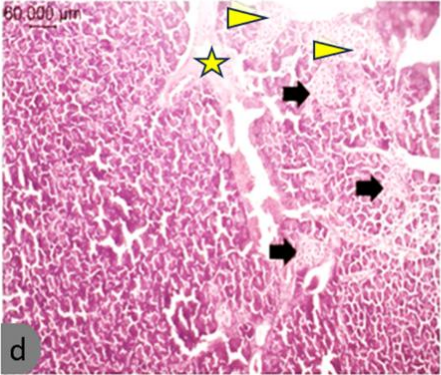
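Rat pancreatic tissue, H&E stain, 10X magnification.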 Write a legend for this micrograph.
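The purple-stained exocrine acini are broken up by irregular clefts, and several small pale cell clusters with blurred borders lie among them rather than one large round islet. Along the upper part a pale pink, homogeneous, acellular material fills the space between lobules, and nearby areas look loosened with pale, empty-appearing spaces. These features fit shrunken, atrophic islets, tissue destruction with vacuolization, and eosinophilic accumulations in the pancreas.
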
